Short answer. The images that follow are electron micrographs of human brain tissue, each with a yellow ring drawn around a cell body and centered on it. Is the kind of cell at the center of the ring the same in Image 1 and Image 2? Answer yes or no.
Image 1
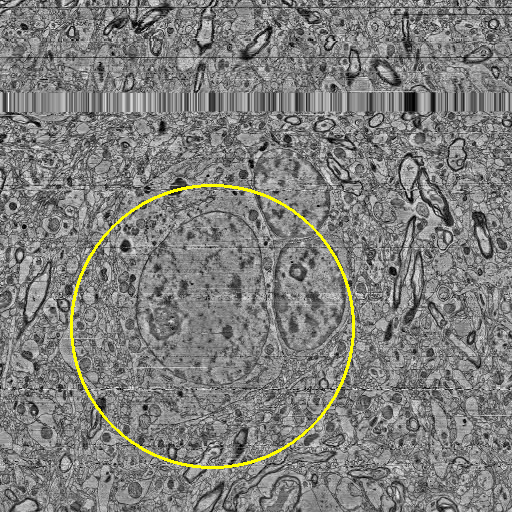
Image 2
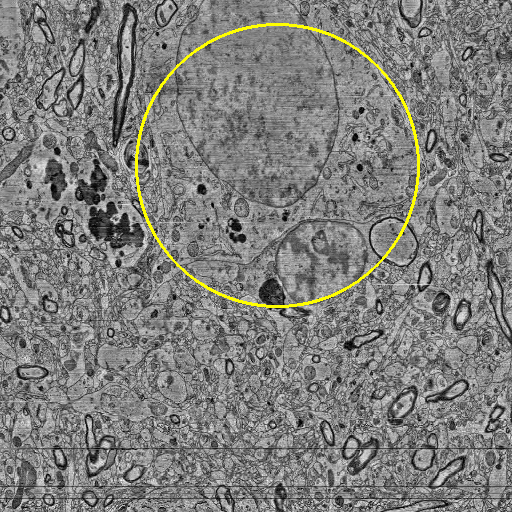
yes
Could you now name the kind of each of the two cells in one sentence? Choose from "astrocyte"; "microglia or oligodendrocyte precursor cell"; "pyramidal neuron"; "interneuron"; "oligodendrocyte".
In the first picture and in the second, the ring is centred on a pyramidal neuron.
